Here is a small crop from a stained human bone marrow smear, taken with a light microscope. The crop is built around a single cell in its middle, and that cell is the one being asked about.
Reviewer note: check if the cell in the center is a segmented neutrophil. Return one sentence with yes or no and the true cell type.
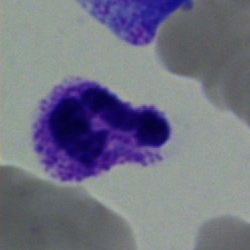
Yes, that is right: the middle cell is a segmented neutrophil.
